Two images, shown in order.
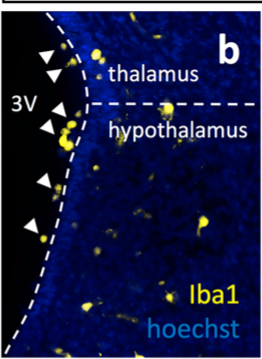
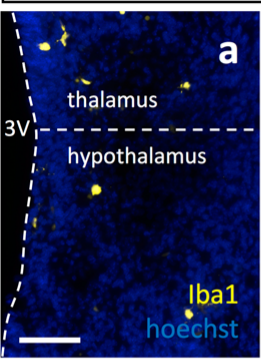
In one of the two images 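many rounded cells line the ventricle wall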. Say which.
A: the first image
